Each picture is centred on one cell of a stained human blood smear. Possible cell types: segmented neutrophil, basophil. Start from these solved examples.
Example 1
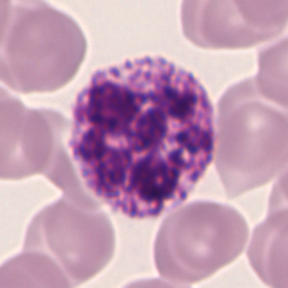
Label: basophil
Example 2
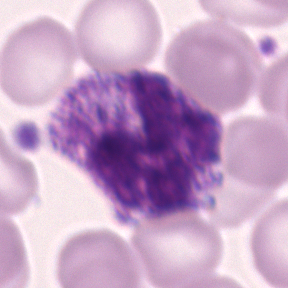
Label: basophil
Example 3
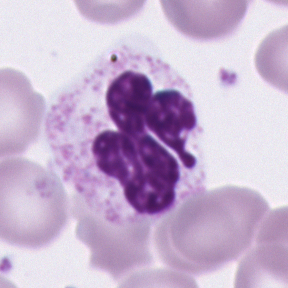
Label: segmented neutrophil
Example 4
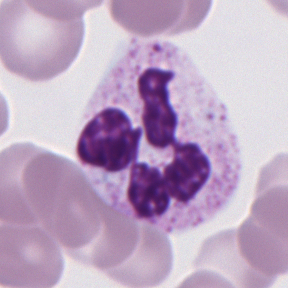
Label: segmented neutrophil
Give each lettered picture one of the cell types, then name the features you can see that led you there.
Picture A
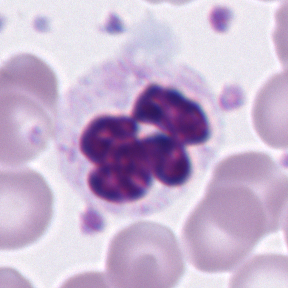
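Label: segmented neutrophil. The cytoplasm is abundant and pale pinkish-lilac.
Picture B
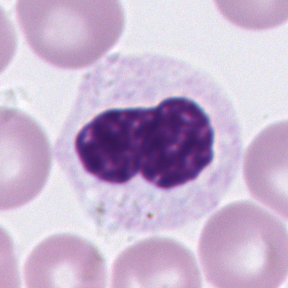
Label: segmented neutrophil. The cytoplasm forms a wide rim around the whole nucleus.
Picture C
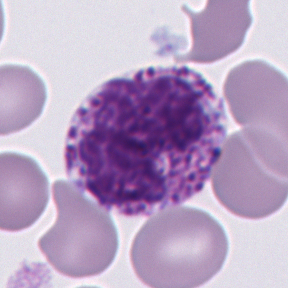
Label: basophil. The granules are coarse and dark purple-black.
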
